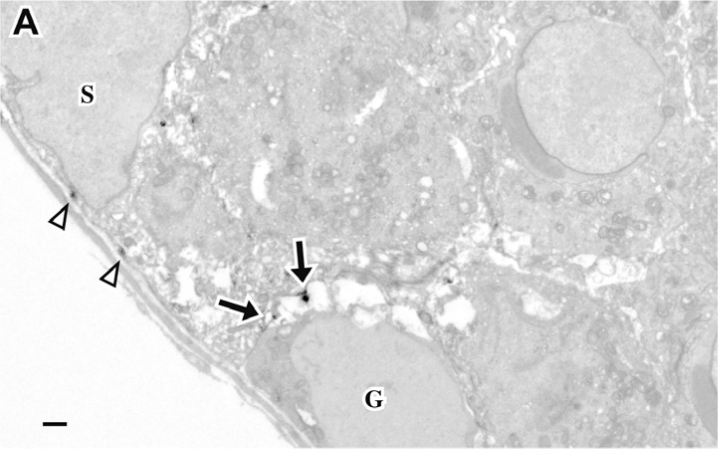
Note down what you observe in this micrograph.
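The basal part of a seminiferous tubule epithelium is seen at electron microscope resolution, with Sertoli cells and spermatogenic cells resting on the thin tubule wall. A Sertoli cell nucleus lies at the upper left against the wall, and a rounded germ cell nucleus with finely granular chromatin lies near the bottom. The cytoplasm between them is crowded with mitochondria, vesicles and irregular pale spaces. Small black dense deposits sit along the outer border of the epithelium against the thin layered wall, and others lie in the clefts between cells close to the germ cell.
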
